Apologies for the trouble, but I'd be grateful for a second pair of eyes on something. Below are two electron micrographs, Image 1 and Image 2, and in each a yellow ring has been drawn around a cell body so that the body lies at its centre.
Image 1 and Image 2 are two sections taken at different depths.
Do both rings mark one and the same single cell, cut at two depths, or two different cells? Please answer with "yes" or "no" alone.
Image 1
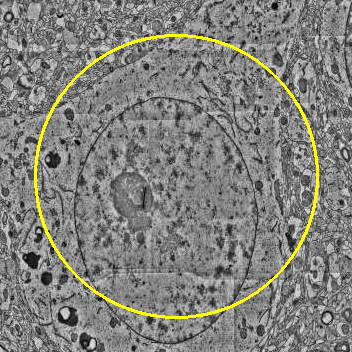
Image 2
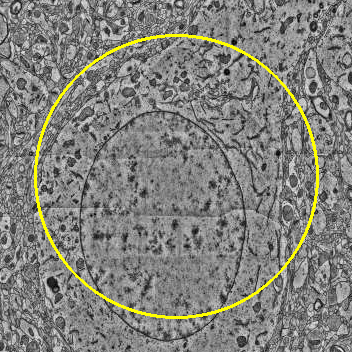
yes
